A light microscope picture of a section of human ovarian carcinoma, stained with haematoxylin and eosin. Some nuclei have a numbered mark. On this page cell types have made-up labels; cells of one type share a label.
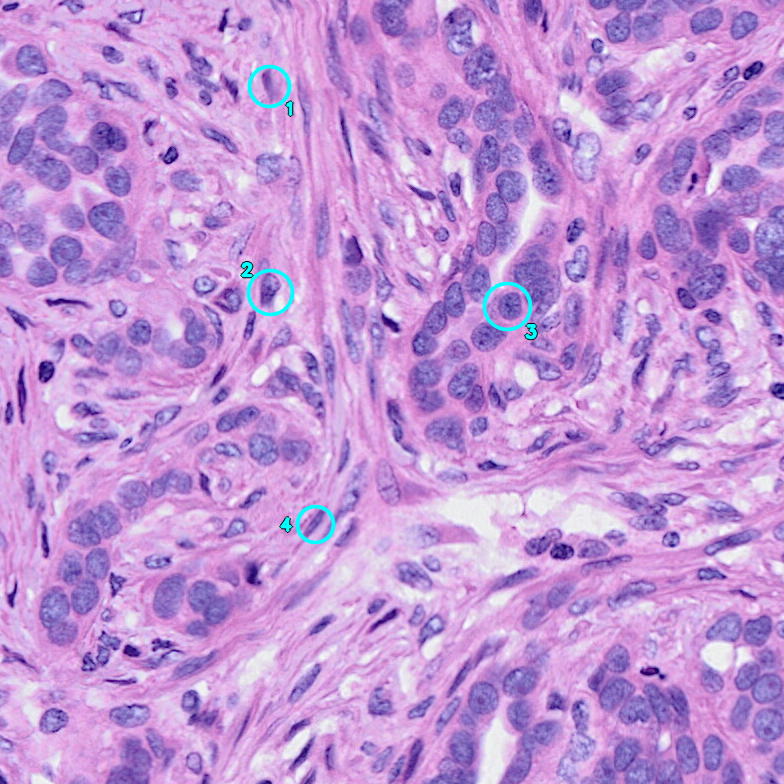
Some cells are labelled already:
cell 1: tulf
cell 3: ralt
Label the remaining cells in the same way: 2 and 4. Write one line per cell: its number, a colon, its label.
2: tulf
4: tulf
